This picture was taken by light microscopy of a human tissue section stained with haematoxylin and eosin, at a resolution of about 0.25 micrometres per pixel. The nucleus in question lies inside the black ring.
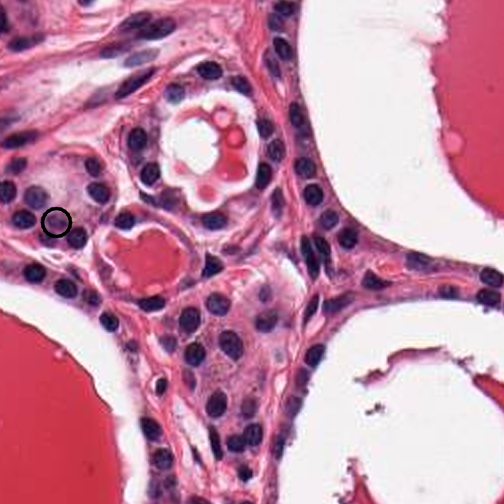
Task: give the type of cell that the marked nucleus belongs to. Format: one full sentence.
The marked nucleus, in this picture, belongs to a thyroid follicular cell.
